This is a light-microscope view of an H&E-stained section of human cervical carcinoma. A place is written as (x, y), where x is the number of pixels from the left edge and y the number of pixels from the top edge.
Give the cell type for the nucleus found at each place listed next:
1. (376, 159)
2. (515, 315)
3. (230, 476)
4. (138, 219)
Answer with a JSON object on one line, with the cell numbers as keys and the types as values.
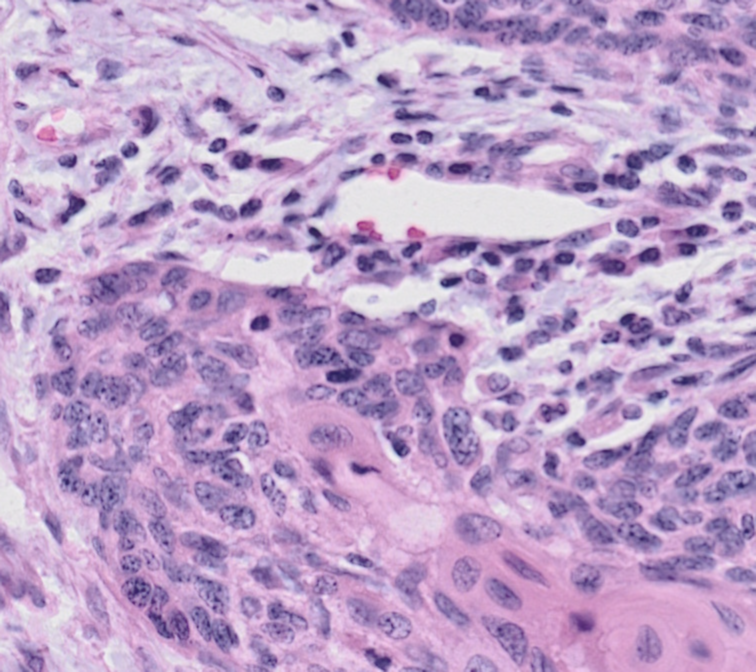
{"1": "lymphocyte", "2": "lymphocyte", "3": "squamous carcinoma cell", "4": "lymphocyte"}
